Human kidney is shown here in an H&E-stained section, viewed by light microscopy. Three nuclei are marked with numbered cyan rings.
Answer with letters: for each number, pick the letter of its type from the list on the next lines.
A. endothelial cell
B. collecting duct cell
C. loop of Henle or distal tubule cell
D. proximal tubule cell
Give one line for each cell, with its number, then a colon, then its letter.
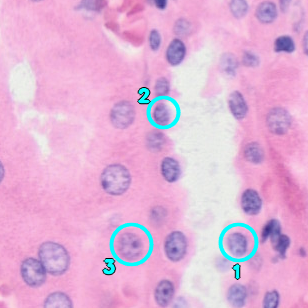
1: C
2: C
3: D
